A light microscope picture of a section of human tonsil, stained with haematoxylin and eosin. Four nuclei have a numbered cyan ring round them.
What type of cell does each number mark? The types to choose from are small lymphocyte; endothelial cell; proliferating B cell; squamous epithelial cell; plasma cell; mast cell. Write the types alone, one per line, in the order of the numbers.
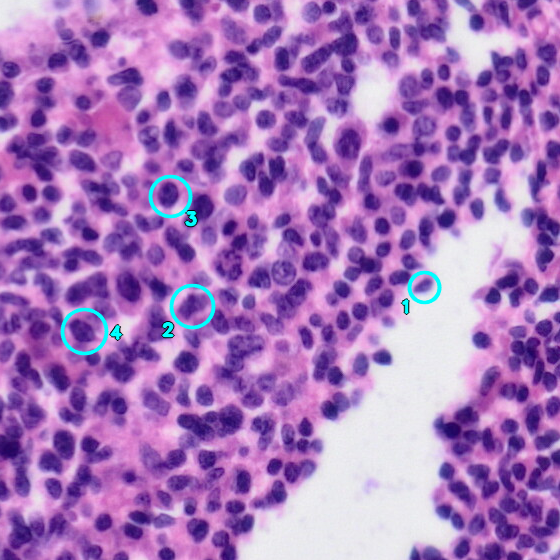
small lymphocyte
proliferating B cell
proliferating B cell
proliferating B cell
